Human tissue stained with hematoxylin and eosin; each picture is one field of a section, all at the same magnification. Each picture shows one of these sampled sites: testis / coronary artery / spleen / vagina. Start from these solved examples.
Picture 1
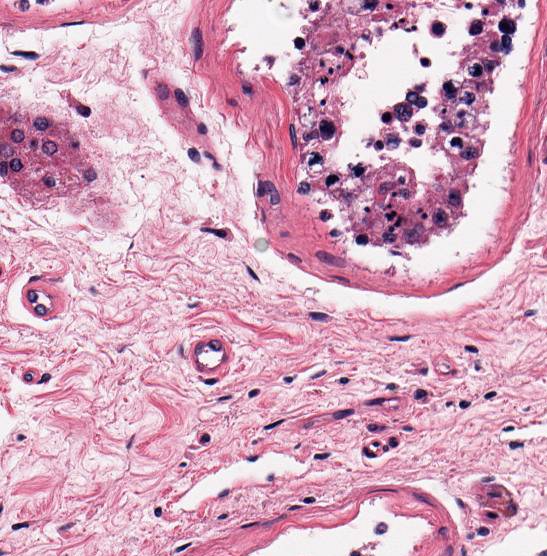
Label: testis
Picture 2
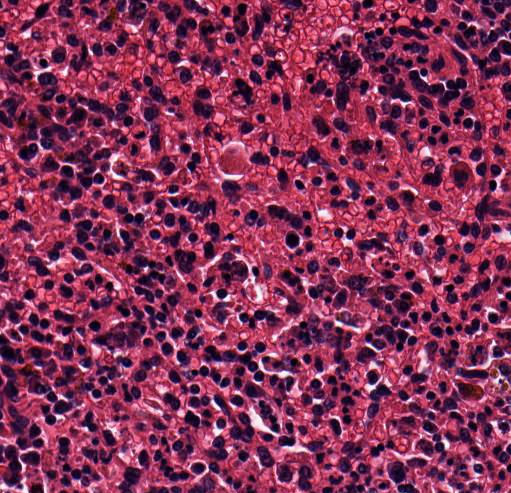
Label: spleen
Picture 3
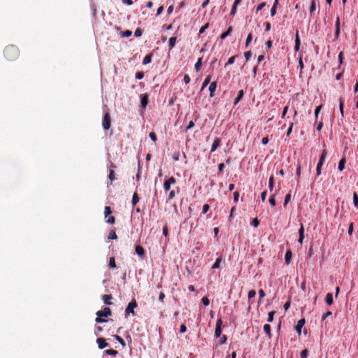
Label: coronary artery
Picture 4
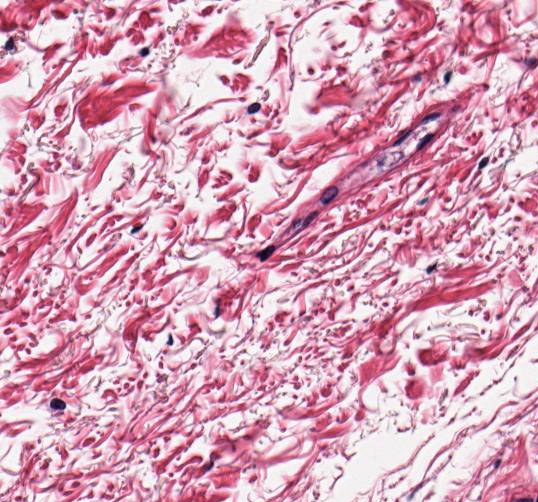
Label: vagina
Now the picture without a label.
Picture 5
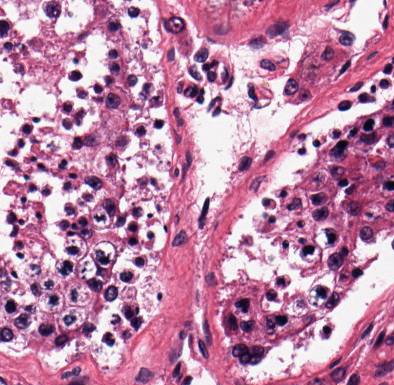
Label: testis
